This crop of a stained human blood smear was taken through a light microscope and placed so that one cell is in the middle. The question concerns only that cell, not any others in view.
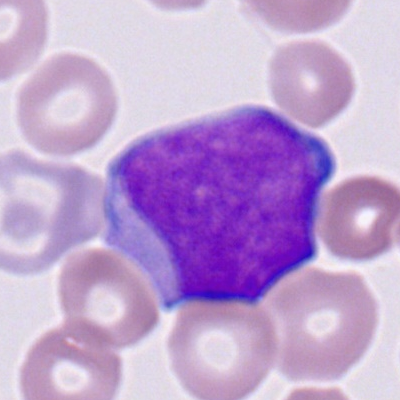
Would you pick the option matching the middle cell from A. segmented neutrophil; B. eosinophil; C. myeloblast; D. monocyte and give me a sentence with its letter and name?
The cell right in the middle is a myeloblast, so option C is the one.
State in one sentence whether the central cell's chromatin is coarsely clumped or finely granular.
The chromatin pattern is fine and free of coarse clumps.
